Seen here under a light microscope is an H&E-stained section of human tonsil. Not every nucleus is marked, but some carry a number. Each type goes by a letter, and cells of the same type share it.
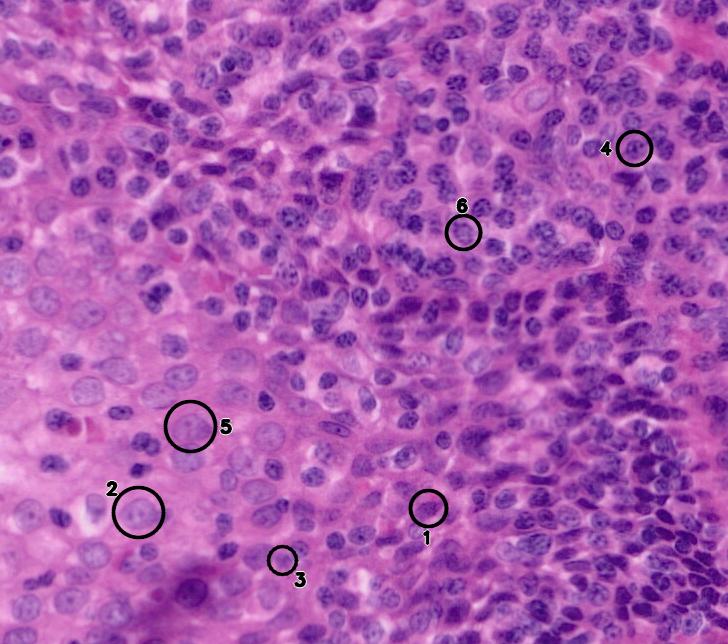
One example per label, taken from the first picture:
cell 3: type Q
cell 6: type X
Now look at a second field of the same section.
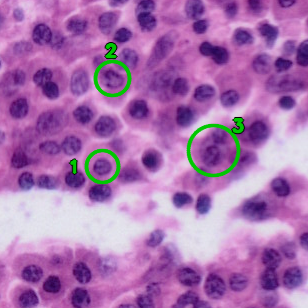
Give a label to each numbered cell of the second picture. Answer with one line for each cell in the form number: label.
1: type X
2: type X
3: type Q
